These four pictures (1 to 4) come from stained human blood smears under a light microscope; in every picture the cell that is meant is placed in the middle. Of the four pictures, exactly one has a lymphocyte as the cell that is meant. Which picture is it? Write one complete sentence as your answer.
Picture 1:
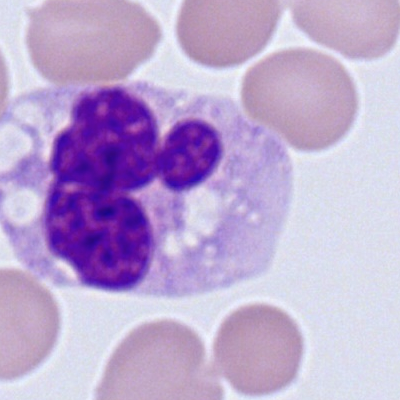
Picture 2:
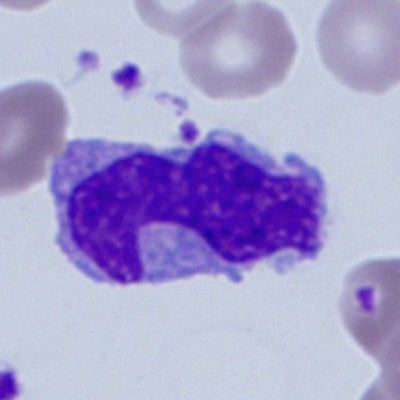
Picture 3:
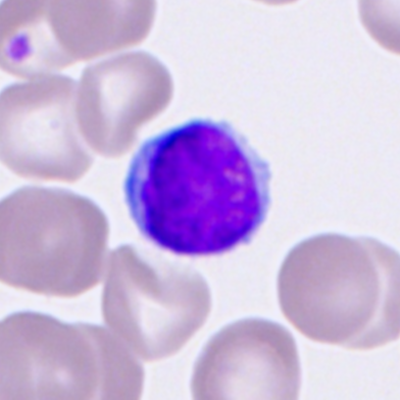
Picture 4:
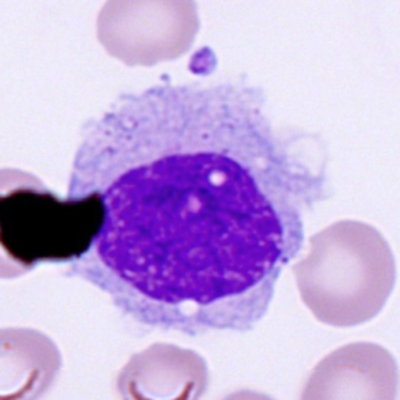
The lymphocyte is the one in picture 3.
